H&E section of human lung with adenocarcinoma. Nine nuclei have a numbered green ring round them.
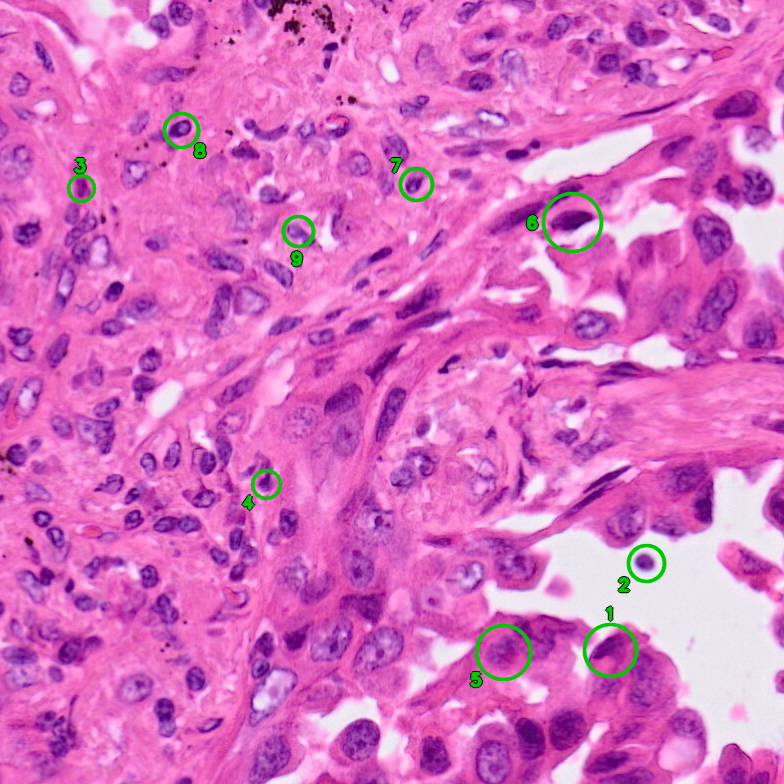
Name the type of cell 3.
plasma cell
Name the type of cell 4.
lymphocyte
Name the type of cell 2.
lymphocyte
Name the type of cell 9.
lymphocyte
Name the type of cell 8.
lymphocyte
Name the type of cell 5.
carcinoma cell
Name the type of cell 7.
lymphocyte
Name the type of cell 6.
carcinoma cell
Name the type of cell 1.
carcinoma cell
